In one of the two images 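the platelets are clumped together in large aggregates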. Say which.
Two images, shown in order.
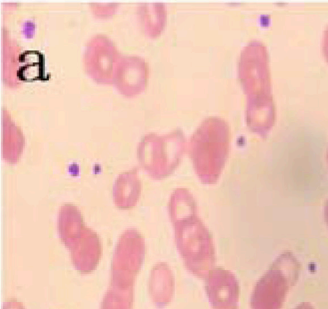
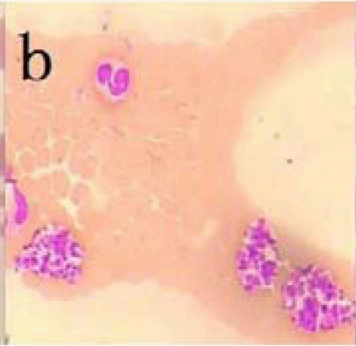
the second image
